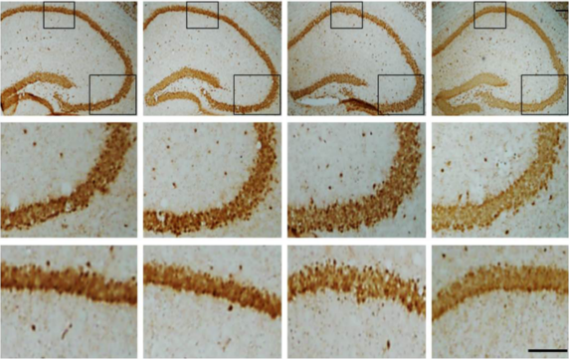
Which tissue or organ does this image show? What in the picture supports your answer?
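Top row shows a curved C-shaped band of brown-stained cells with a second interlocking curved band. Lower rows show enlarged segments of a dense, curved band of cell bodies. So: hippocampus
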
